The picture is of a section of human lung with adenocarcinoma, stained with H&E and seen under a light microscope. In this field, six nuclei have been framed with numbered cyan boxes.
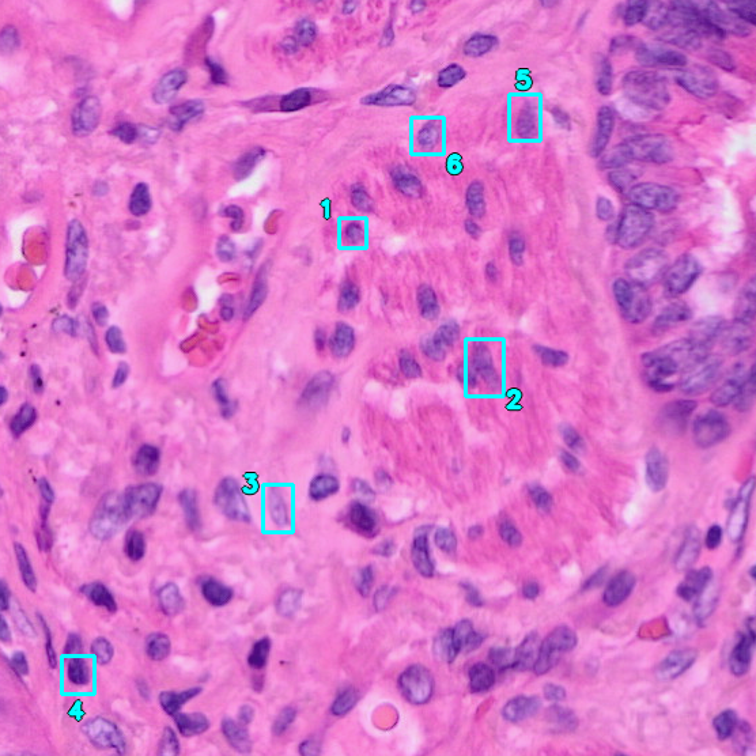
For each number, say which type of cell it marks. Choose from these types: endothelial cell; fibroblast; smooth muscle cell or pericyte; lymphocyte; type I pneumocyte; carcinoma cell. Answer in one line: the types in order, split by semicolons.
smooth muscle cell or pericyte; smooth muscle cell or pericyte; fibroblast; lymphocyte; smooth muscle cell or pericyte; smooth muscle cell or pericyte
